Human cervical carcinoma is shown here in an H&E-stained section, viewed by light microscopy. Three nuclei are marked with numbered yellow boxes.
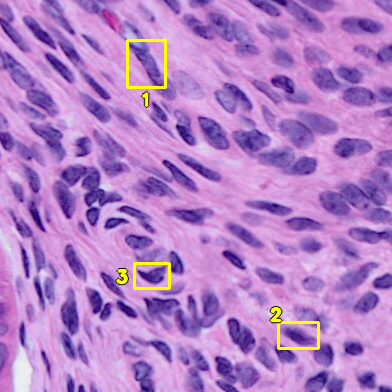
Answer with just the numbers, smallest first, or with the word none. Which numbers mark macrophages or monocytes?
none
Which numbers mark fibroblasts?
2, 3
